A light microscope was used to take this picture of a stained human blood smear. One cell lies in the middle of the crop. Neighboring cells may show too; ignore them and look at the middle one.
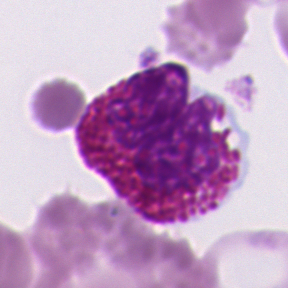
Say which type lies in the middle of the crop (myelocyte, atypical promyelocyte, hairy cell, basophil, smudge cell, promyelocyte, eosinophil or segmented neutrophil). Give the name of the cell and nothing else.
eosinophil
